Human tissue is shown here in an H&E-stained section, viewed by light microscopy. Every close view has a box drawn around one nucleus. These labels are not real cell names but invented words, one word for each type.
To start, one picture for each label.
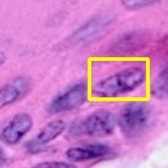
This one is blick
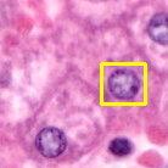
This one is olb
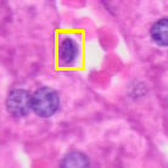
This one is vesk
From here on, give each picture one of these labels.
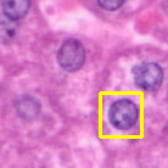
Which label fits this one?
olb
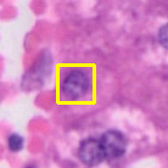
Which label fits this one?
olb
